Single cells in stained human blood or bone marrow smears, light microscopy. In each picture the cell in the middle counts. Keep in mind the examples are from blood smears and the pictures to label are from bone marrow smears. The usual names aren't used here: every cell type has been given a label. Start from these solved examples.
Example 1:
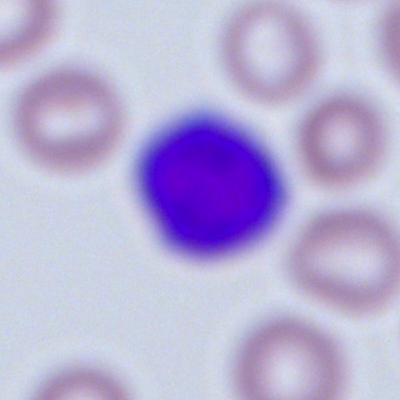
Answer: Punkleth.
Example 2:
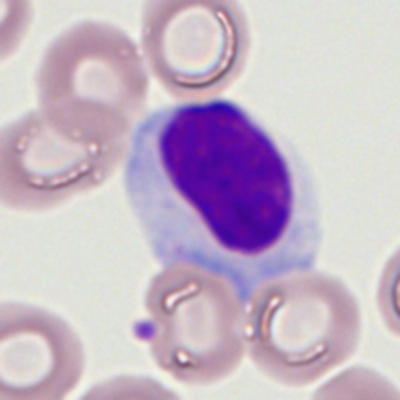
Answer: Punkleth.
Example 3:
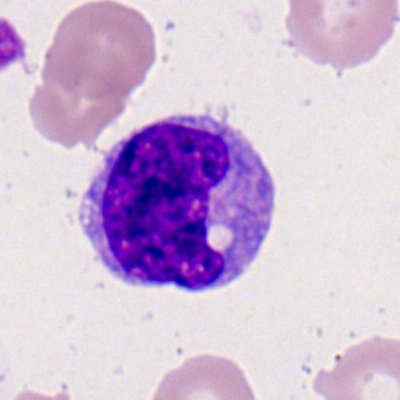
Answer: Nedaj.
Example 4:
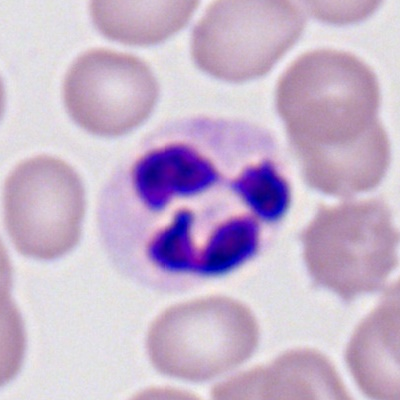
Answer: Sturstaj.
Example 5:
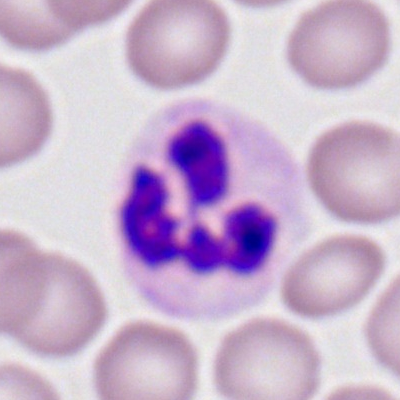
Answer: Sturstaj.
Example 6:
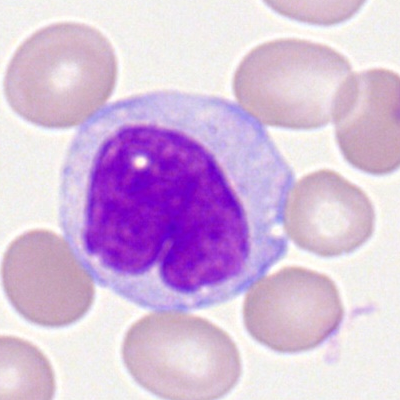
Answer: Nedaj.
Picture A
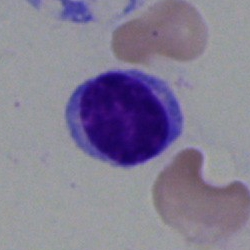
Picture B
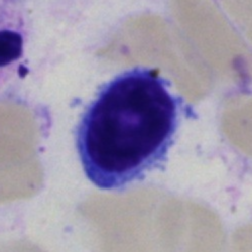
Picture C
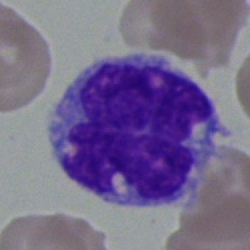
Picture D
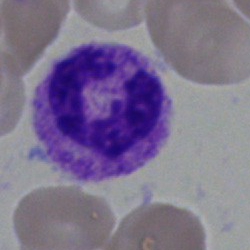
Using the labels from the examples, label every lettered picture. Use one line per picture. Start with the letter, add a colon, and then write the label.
A: Punkleth.
B: Punkleth.
C: Nedaj.
D: Sturstaj.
